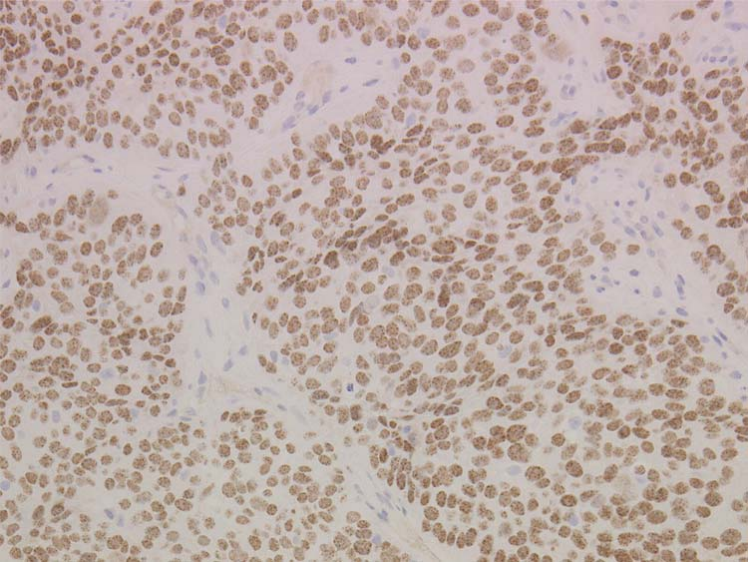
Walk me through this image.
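Tumour cells sit in crowded sheets and irregular nests with brown-stained nuclei. The nuclei are round to oval and fairly uniform, and they are closely packed with scant pale cytoplasm. The stain is nuclear and mostly finely granular, and its intensity varies from light to dark brown. The great majority of tumour nuclei are stained. Bands of pale fibrous stroma run between the nests. The stroma holds scattered elongated spindle nuclei that take only the blue counterstain.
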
